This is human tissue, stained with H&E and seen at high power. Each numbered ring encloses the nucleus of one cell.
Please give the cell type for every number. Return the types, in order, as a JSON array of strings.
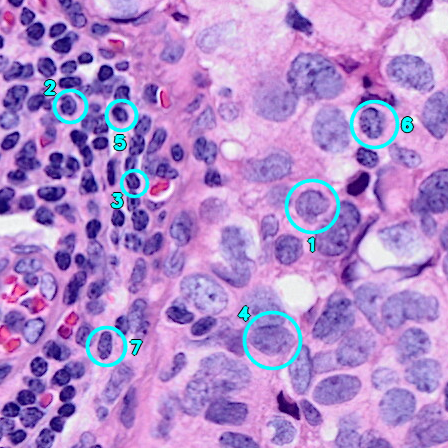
["carcinoma cell", "lymphocyte", "lymphocyte", "carcinoma cell", "lymphocyte", "carcinoma cell", "lymphocyte"]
